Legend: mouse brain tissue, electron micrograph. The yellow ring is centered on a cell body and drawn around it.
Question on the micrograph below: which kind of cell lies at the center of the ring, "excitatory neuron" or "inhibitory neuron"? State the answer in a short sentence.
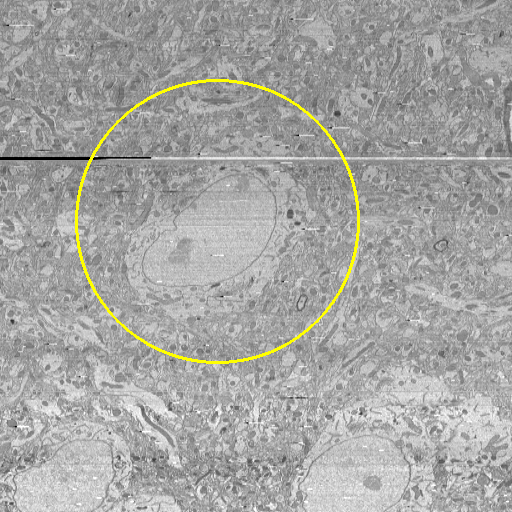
At the center of the ring lies an excitatory neuron.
